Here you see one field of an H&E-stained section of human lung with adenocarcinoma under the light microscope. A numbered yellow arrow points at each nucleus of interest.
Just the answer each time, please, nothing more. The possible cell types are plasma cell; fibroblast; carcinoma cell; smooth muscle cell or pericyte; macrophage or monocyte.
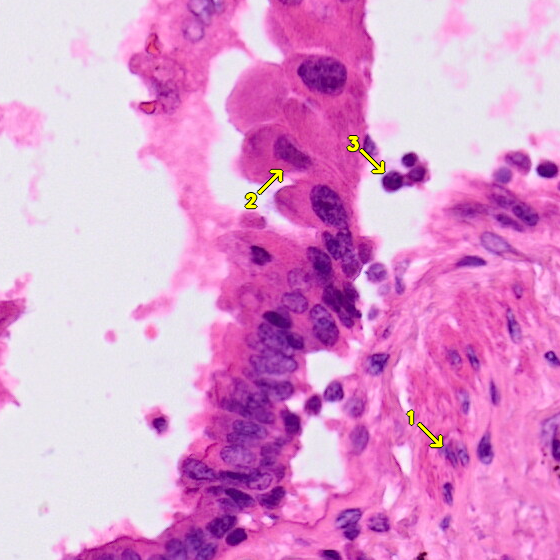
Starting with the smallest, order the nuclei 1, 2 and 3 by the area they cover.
1, 3, 2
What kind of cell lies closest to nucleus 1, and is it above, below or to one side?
a smooth muscle cell or pericyte, to the right of nucleus 1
